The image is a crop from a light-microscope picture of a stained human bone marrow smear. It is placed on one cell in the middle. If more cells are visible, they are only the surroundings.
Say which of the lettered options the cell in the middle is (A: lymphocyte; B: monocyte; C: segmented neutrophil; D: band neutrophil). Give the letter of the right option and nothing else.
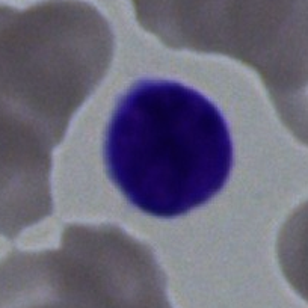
A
